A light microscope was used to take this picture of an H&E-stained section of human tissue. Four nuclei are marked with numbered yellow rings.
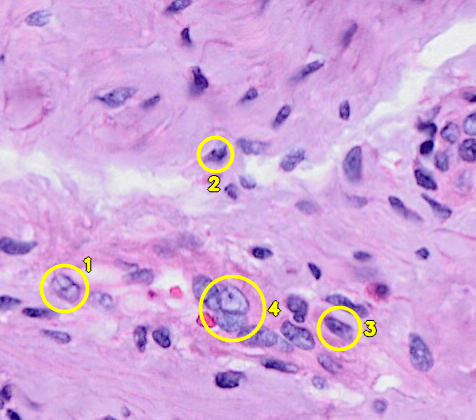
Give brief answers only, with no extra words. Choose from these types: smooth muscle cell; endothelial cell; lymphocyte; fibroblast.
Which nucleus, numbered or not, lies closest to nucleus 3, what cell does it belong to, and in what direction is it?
a fibroblast above nucleus 3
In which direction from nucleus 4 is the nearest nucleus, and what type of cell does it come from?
an endothelial cell above and to the left of nucleus 4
